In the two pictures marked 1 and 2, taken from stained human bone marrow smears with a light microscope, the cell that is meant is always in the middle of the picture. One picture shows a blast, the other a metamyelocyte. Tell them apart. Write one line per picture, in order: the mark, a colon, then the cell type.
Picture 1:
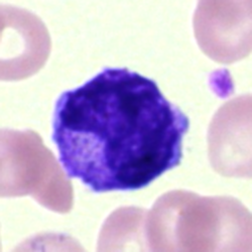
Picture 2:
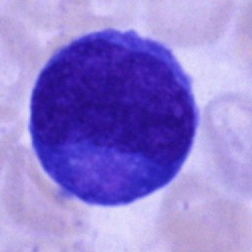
1: metamyelocyte
2: blast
